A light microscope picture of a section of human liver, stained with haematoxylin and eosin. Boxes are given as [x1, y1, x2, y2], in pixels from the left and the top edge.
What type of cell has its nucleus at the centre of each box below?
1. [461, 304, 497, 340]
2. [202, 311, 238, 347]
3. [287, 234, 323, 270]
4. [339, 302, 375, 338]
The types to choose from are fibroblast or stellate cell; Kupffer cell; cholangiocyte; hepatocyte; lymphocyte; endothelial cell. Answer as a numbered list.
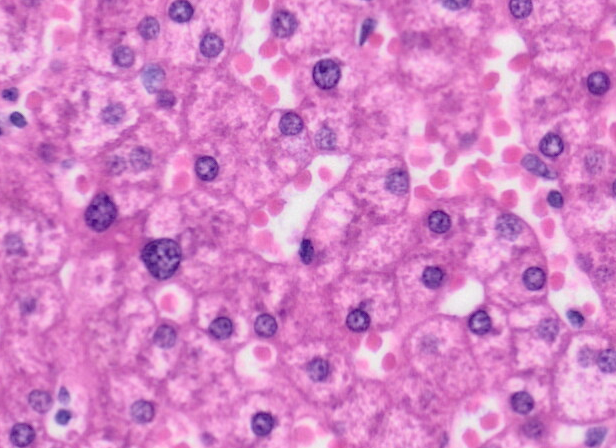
1. hepatocyte
2. hepatocyte
3. fibroblast or stellate cell
4. hepatocyte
